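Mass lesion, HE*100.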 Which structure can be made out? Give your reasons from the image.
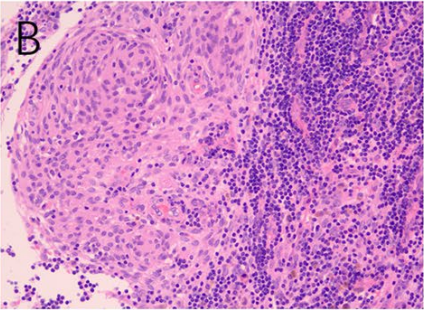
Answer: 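Meningothelial whorls. On the left, oval to spindled cells with pale nuclei and pink cytoplasm are wrapped in concentric layers. On the right lies a dense sheet of small round dark-nucleated cells.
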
